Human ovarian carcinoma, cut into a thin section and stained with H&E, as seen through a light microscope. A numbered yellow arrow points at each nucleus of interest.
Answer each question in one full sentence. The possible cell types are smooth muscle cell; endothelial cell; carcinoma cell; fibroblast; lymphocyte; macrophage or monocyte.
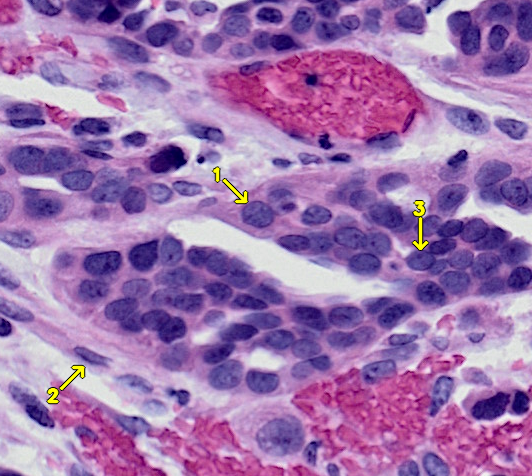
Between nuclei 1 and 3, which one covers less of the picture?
Nucleus 3 covers less area, with nucleus 1 about 2 times as large.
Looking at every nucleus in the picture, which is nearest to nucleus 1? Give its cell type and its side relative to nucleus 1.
Just above and to the right of nucleus 1 lies the nearest nucleus, which belongs to a carcinoma cell.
